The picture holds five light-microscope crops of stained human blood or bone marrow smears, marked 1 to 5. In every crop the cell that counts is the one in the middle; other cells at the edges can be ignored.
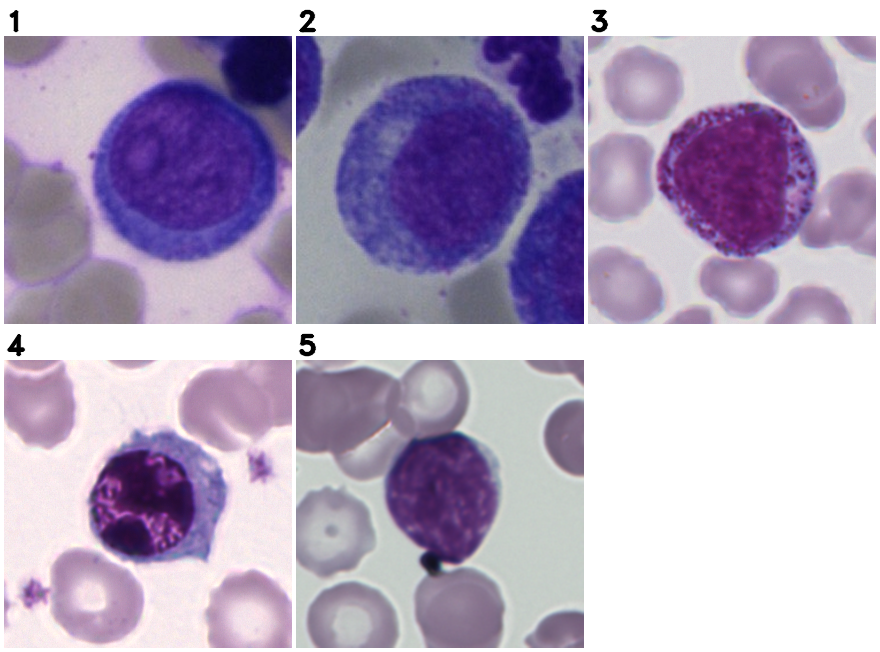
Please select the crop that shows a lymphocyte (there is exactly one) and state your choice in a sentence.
Look at crop 5; that is the one with a lymphocyte in its center.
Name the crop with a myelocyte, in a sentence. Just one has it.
The crop carrying a myelocyte at the center is crop 3.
